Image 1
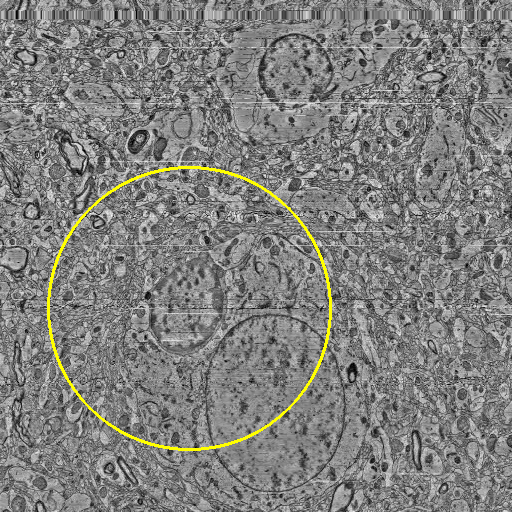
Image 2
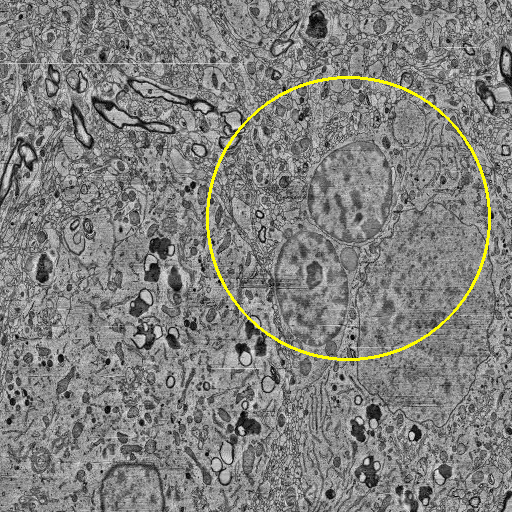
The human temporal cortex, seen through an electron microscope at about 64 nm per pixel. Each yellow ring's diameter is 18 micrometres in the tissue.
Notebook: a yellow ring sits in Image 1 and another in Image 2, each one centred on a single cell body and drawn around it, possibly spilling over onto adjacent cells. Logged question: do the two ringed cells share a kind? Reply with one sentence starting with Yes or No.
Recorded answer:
Yes, both centre cells inside the rings of Image 1 and Image 2 share one kind.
